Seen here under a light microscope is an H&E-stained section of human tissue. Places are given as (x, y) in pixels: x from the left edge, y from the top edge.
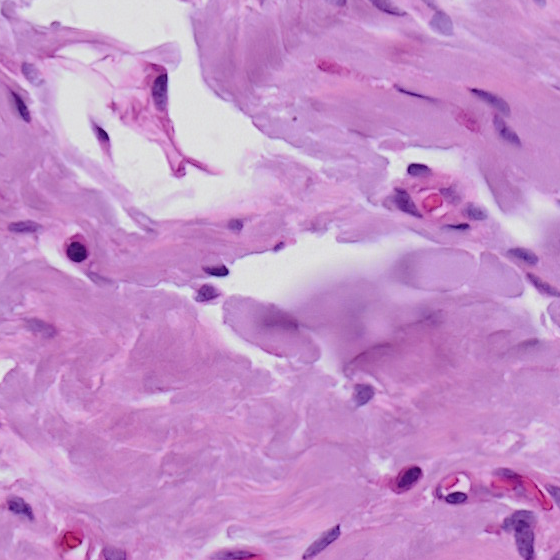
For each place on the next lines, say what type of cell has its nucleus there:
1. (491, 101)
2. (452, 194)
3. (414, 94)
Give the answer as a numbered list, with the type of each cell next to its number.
1. fibroblast
2. endothelial cell
3. fibroblast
